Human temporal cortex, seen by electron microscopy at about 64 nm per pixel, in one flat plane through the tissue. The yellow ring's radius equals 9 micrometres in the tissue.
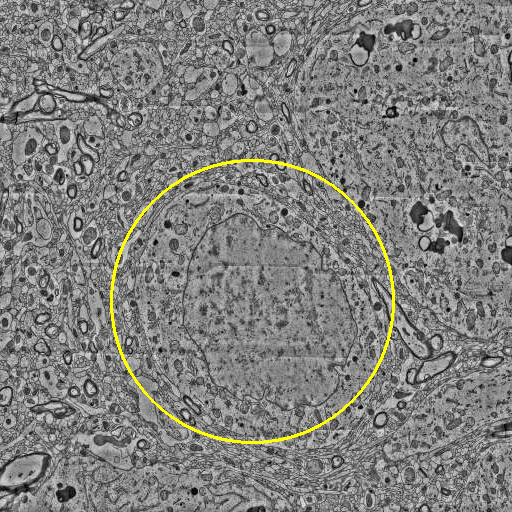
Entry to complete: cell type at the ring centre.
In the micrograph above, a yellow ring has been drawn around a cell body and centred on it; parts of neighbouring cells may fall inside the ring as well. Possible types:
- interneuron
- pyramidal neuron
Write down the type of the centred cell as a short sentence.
The ring is centred on a pyramidal neuron.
